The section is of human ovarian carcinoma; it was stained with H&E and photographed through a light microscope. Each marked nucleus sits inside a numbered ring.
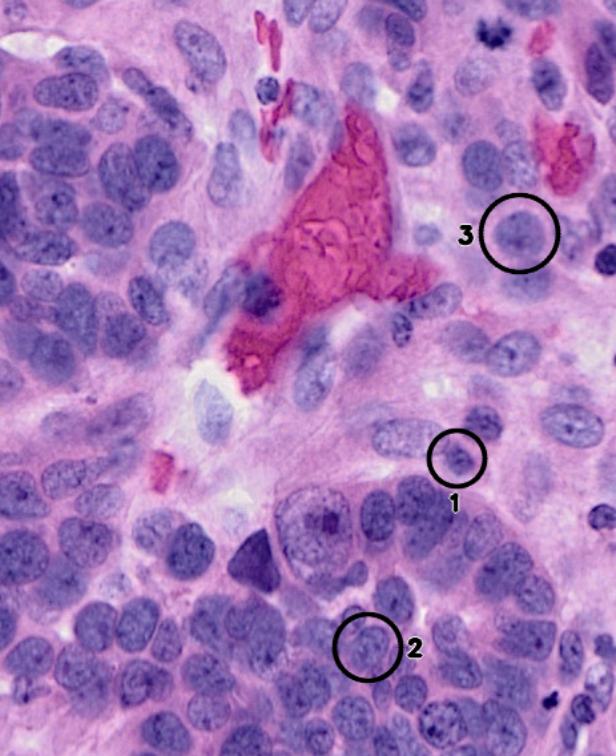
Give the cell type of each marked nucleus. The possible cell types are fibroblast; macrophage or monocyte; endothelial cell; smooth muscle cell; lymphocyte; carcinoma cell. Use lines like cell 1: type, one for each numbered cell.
cell 1: macrophage or monocyte
cell 2: carcinoma cell
cell 3: carcinoma cell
